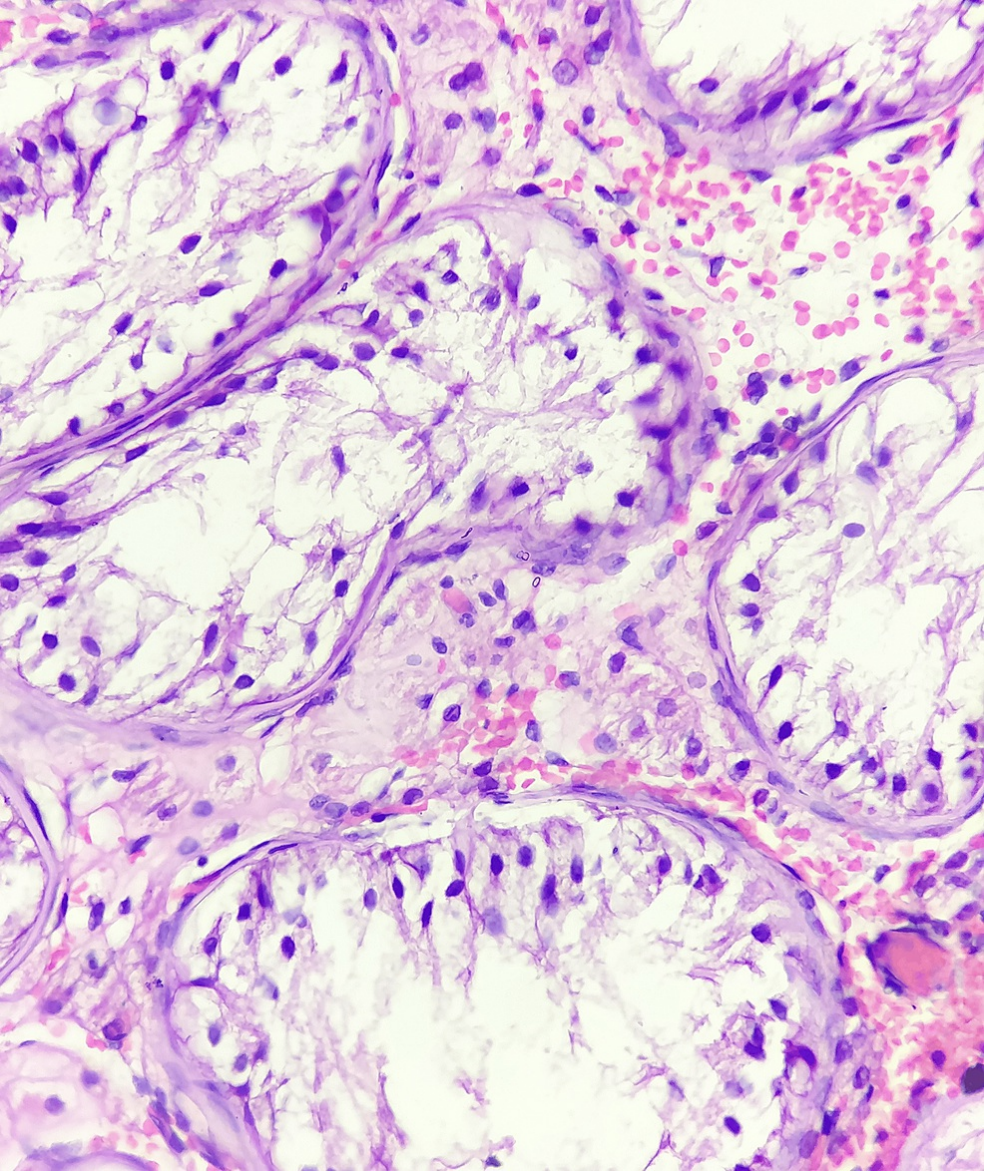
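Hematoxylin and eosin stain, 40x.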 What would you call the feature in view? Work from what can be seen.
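Seminiferous tubules. Several rounded to elongated tubular profiles, each bounded by a distinct wall. Cells lie within the tubules along their walls. Loose tissue with blood cells lies between the tubules.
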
